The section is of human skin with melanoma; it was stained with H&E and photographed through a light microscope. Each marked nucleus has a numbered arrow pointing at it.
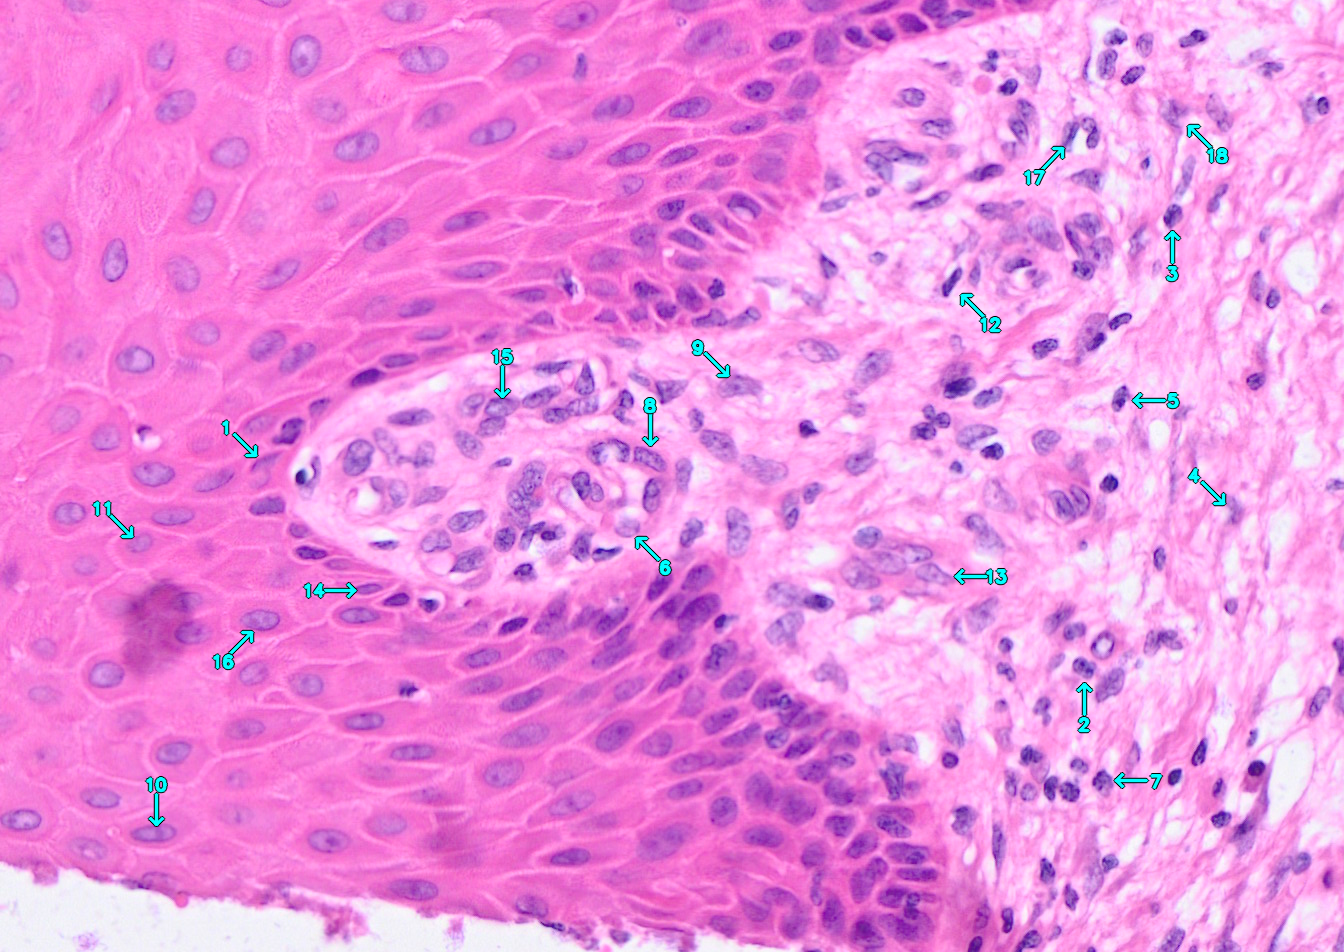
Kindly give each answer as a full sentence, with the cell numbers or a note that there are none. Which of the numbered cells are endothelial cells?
Within this tissue, the cells numbered 6, 8, 13 and 15 are endothelial cells.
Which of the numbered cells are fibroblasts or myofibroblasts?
The cells labelled 4, 9, 17 and 18 in this section are fibroblasts or myofibroblasts.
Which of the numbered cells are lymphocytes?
The numbers 2, 3, 5, 7 and 12 in this section indicate lymphocytes.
